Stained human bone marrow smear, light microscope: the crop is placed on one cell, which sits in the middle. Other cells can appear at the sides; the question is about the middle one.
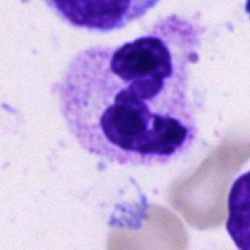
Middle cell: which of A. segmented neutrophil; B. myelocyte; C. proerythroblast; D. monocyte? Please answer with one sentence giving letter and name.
Correctly, option A names the cell in the middle a segmented neutrophil.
